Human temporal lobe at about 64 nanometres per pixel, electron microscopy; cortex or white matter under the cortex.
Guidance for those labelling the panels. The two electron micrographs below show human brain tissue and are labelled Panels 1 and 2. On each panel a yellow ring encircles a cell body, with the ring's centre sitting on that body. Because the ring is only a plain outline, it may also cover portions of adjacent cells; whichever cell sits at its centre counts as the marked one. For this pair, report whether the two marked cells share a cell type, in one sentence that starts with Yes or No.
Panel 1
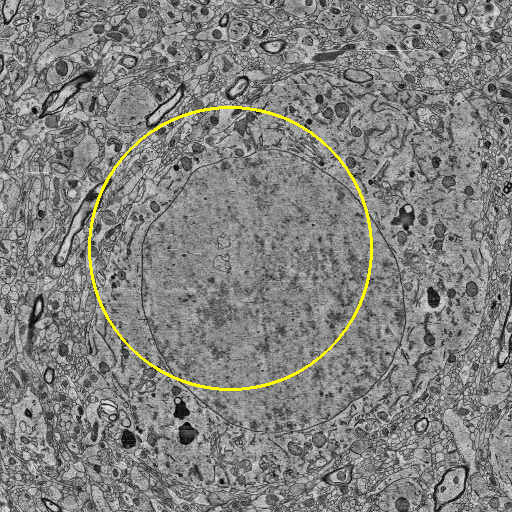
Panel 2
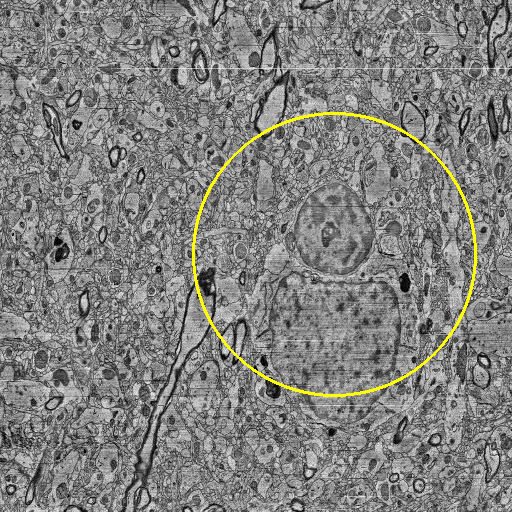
No, in Panel 1 and Panel 2 the marked cells at the ring centres are of two types.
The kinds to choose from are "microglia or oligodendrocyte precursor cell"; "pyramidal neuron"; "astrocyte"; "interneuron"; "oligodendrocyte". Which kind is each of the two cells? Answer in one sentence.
Of the two, the first cell is a pyramidal neuron and the second cell is an oligodendrocyte.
